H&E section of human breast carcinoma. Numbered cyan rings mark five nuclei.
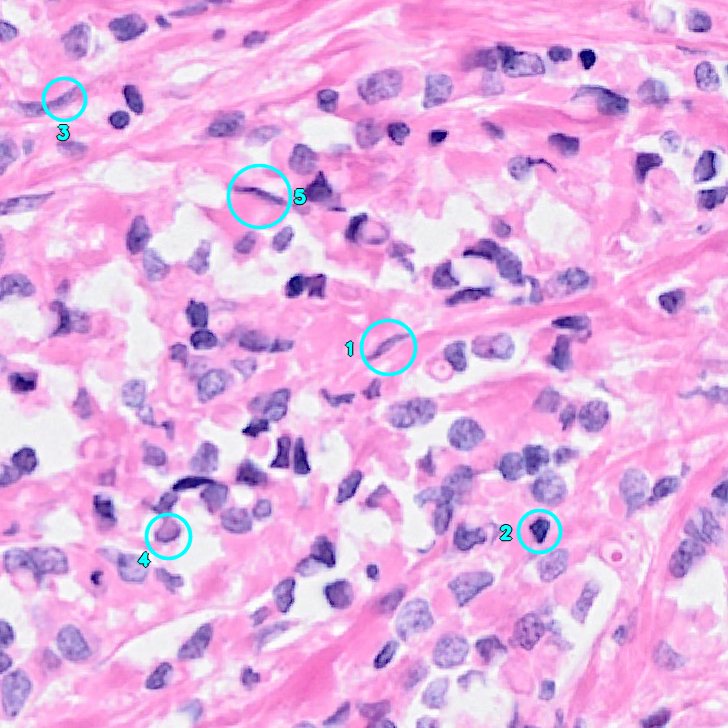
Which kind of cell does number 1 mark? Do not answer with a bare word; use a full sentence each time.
Numbered cell 1 is a fibroblast in this tissue section.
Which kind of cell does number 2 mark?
The cell that carries the label 2 is a lymphocyte.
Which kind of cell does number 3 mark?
Cell 3 is classified as a fibroblast.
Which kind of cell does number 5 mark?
The cell numbered 5 has been identified as a fibroblast.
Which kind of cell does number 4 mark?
Number 4 among the marked cells is a carcinoma cell.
